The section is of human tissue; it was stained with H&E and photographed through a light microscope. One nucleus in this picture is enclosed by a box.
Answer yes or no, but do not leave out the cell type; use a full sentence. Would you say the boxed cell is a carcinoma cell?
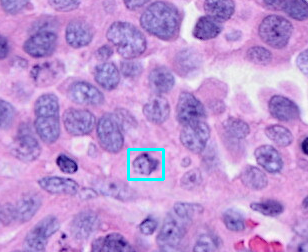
No, the correct identification of the boxed cell is a macrophage or monocyte, not a carcinoma cell.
